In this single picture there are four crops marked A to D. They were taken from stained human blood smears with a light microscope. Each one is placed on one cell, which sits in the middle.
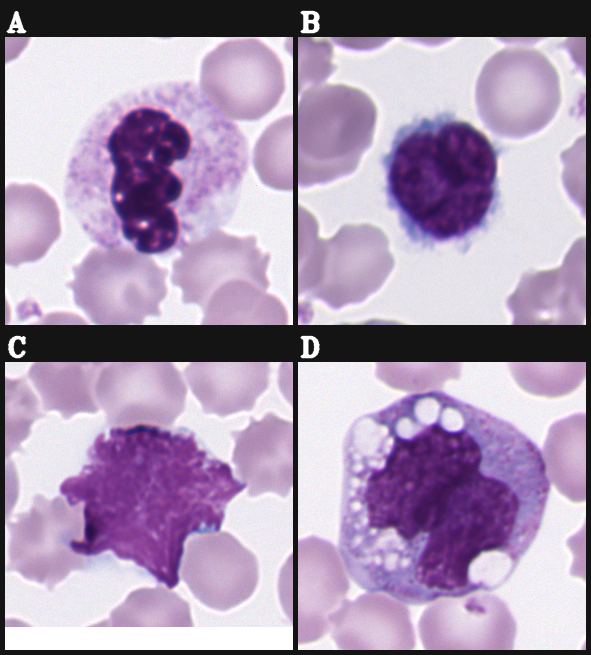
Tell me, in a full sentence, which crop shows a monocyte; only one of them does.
When the crops are compared, crop D is the one showing a monocyte.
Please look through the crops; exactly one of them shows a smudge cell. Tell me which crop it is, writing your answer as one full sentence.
Among the crops given, only crop C shows a smudge cell.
